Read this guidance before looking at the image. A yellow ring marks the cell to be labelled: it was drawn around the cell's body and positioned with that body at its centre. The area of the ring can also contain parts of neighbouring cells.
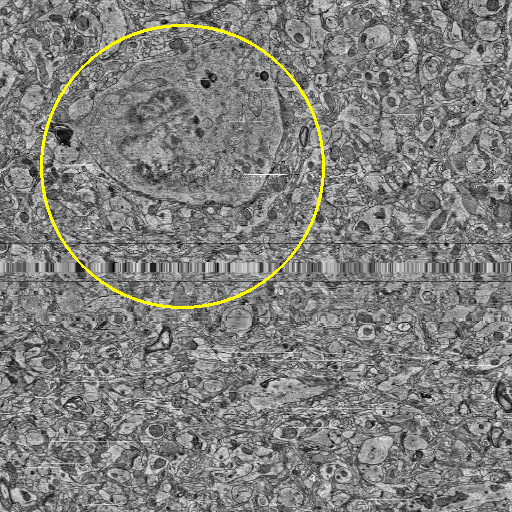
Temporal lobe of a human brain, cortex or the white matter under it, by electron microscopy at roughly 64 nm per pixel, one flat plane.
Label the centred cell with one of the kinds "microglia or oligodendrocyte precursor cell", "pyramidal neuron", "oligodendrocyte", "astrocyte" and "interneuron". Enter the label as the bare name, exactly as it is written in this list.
interneuron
